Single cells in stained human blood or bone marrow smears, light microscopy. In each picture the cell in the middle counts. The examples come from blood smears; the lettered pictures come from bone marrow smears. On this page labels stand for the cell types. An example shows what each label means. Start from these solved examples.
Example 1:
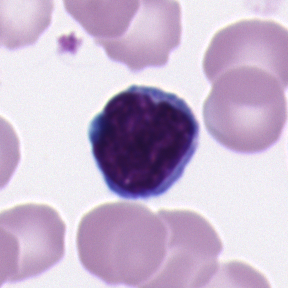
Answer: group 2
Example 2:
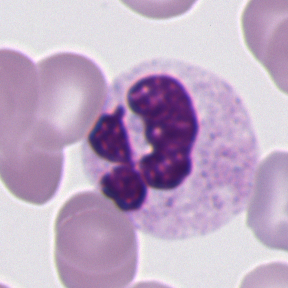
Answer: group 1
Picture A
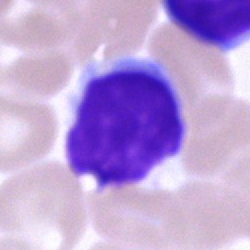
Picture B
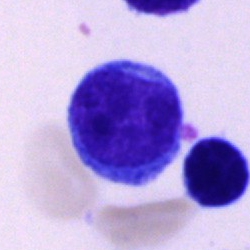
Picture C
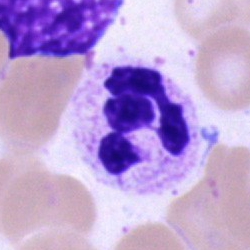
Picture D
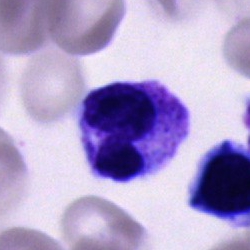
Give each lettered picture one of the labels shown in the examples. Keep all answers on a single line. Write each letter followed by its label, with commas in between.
A group 2, B group 2, C group 1, D group 1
